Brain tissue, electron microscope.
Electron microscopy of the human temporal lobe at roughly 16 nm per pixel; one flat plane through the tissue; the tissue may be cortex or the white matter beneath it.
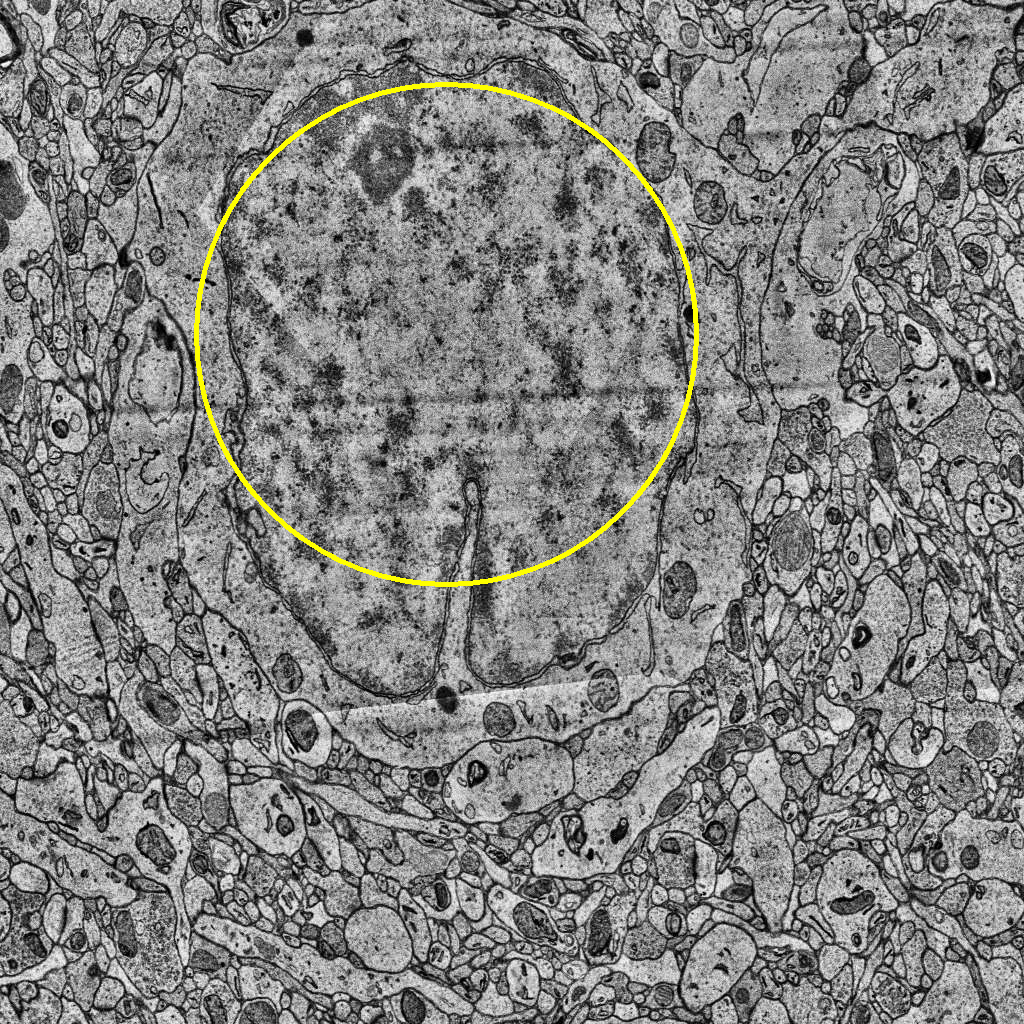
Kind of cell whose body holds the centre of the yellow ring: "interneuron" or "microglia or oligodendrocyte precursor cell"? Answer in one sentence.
The ring's centre falls on an interneuron.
